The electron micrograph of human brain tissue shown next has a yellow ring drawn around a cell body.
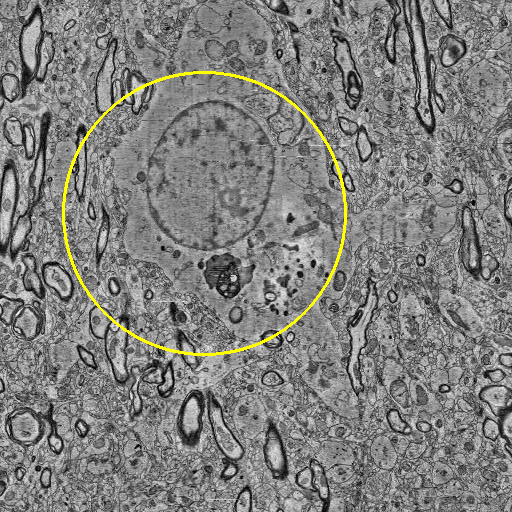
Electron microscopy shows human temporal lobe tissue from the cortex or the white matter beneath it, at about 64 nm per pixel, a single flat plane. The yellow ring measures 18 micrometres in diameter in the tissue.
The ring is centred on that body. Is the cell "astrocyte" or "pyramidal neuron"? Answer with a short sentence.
The cell in question is an astrocyte.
